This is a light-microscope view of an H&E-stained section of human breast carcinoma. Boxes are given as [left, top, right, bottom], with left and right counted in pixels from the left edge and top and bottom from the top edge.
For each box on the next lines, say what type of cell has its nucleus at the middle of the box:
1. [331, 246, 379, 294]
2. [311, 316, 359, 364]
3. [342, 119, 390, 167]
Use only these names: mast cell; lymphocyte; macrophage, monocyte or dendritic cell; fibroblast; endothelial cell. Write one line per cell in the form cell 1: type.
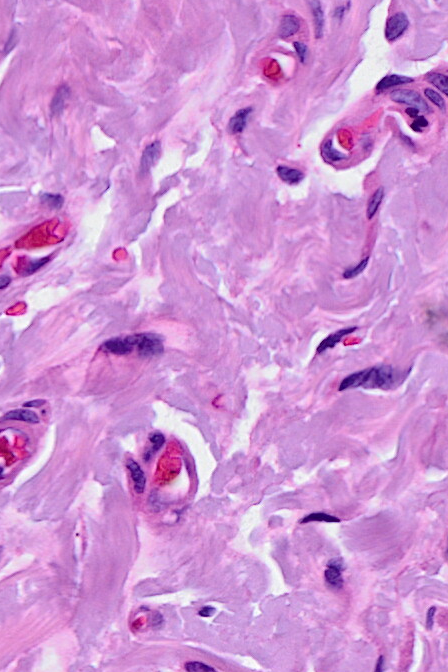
cell 1: fibroblast
cell 2: fibroblast
cell 3: endothelial cell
